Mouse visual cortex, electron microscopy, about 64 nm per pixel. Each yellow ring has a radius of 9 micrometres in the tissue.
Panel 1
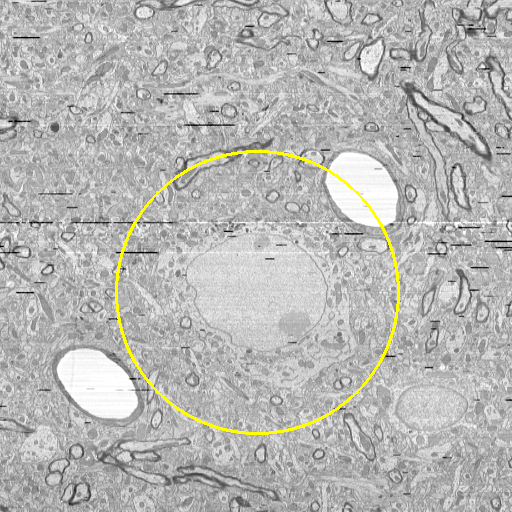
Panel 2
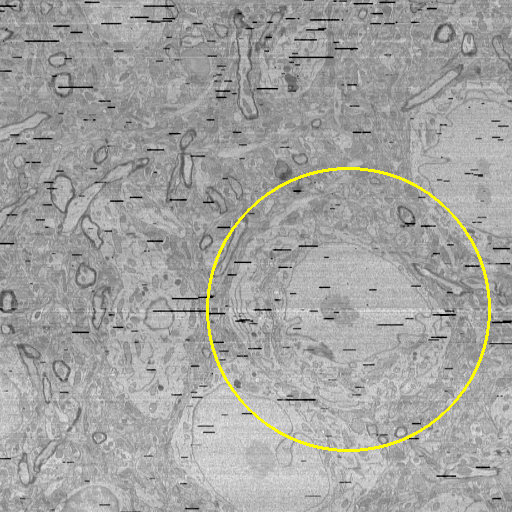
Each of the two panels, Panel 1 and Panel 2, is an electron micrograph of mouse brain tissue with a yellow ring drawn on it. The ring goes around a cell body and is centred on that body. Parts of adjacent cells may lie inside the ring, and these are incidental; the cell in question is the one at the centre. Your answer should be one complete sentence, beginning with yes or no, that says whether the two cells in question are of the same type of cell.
No, the two cells are of two types.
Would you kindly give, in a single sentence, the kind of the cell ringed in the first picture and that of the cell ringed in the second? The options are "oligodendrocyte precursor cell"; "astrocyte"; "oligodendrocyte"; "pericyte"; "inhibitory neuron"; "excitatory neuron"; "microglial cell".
The second cell is an inhibitory neuron, and the first cell is an excitatory neuron.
